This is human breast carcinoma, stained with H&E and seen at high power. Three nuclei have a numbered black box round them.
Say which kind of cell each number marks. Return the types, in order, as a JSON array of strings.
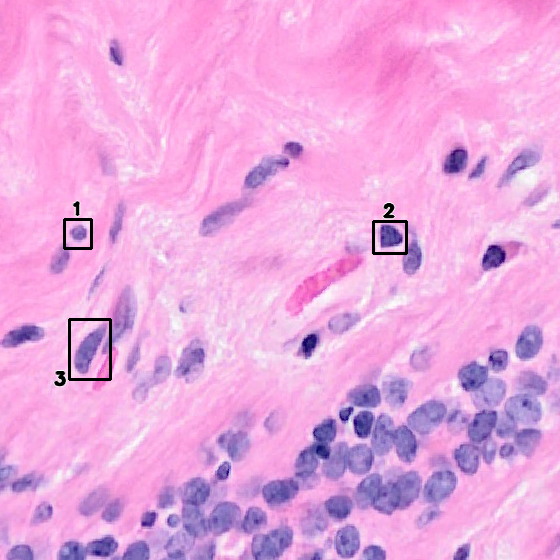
["lymphocyte", "lymphocyte", "endothelial cell"]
